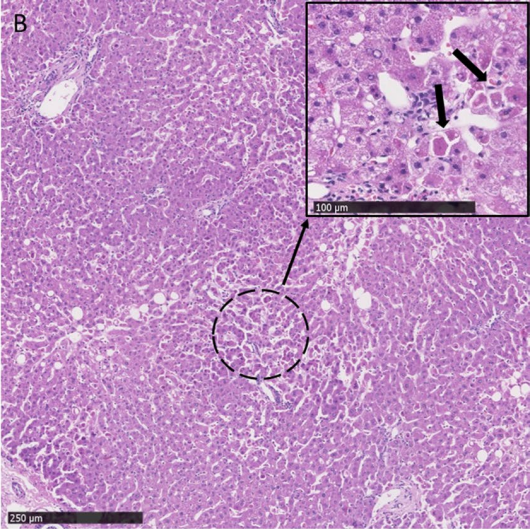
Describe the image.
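This is liver parenchyma of pink hepatocyte plates with scattered small clear vacuoles and a few vessels in portal areas. Around the circled region the cords look looser and more irregular. In the enlarged inset, most hepatocytes have round nuclei and granular pink cytoplasm. A few cells, marked by arrows, have intensely pink, glassy cytoplasm and lack a visible nucleus, which marks them as necrotic cells. Small dark nuclei of other cells cluster nearby.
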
